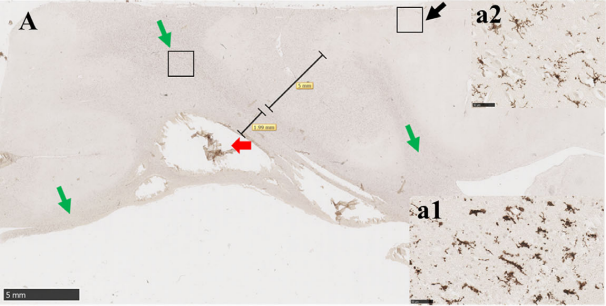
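Low-magnification brain section with a hemorrhage cavity containing brown material, and two higher-magnification insets of brown-stained microglia. One inset shows small cell bodies with long, fine, branching processes spaced evenly apart, typical of ramified microglia; the other shows cells with larger, elongated bodies and shorter, thicker processes, consistent with activated microglia.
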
